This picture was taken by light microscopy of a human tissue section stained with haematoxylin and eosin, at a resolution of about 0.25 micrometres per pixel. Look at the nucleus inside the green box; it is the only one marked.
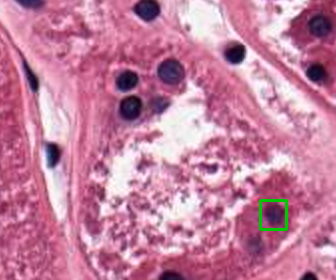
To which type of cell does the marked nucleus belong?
proximal tubule cell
